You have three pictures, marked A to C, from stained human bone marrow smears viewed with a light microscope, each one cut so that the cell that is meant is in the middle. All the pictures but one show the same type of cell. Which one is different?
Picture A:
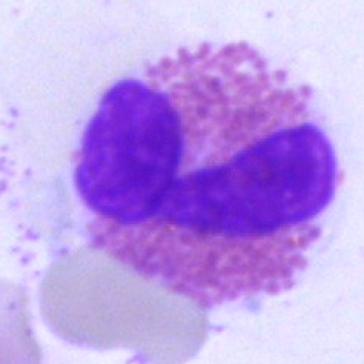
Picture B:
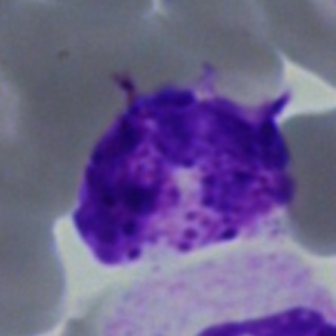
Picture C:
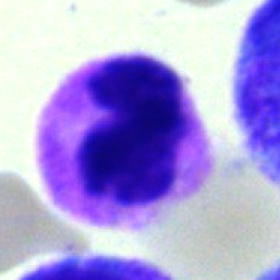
A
